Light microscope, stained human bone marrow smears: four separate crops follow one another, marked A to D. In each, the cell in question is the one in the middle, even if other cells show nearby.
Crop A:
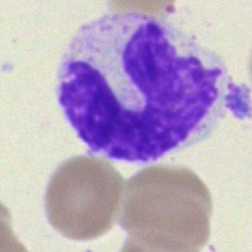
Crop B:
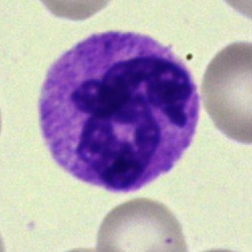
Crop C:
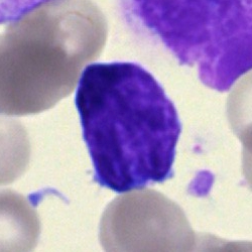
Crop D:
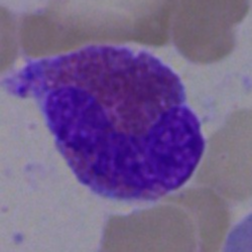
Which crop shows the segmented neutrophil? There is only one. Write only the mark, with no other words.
B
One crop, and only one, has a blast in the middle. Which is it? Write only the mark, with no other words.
C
